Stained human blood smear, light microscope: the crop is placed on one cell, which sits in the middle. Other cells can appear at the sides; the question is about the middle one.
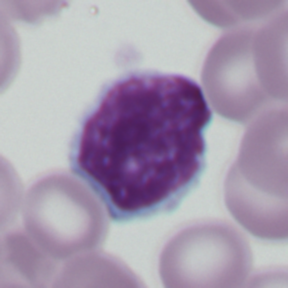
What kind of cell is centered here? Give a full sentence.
The cell occupying the middle of the crop is a typical lymphocyte.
